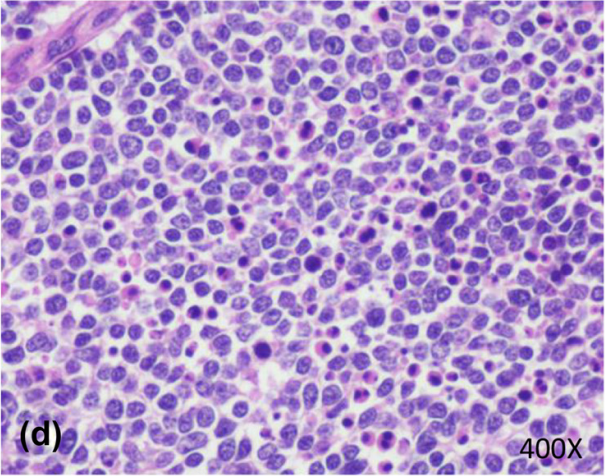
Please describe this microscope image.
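A diffuse sheet of crowded, small tumor cells fills the field, each with only a thin rim of pale cytoplasm around a large, deep purple nucleus. The nuclei are round to oval with some elongated forms, and nucleoli are hard to make out; scattered cells are darker and condensed. These are small tumor cells with scant cytoplasm and hyperchromatic nuclei with inconspicuous nucleoli.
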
